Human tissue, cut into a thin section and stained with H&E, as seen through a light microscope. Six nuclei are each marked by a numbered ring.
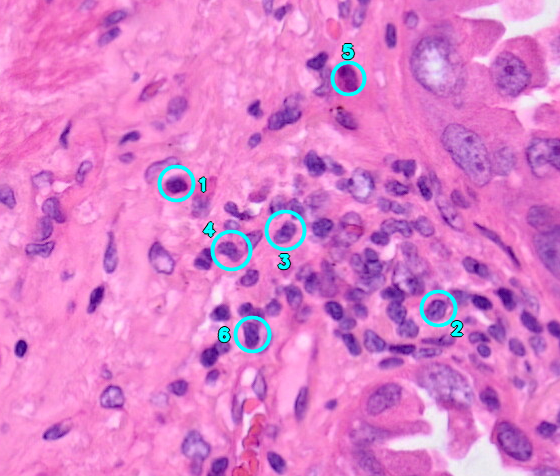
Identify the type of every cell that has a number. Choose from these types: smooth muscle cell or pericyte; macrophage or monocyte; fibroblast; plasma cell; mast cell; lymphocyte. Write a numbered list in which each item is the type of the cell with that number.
1. plasma cell
2. lymphocyte
3. lymphocyte
4. lymphocyte
5. plasma cell
6. lymphocyte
